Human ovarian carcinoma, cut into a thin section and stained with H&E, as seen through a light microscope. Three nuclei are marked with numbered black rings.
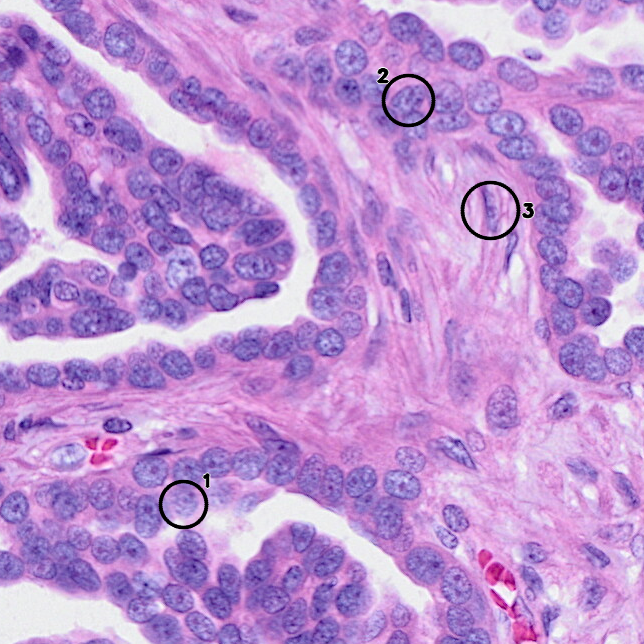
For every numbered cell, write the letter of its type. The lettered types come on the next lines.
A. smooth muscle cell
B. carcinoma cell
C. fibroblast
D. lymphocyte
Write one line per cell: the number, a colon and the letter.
1: B
2: B
3: C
